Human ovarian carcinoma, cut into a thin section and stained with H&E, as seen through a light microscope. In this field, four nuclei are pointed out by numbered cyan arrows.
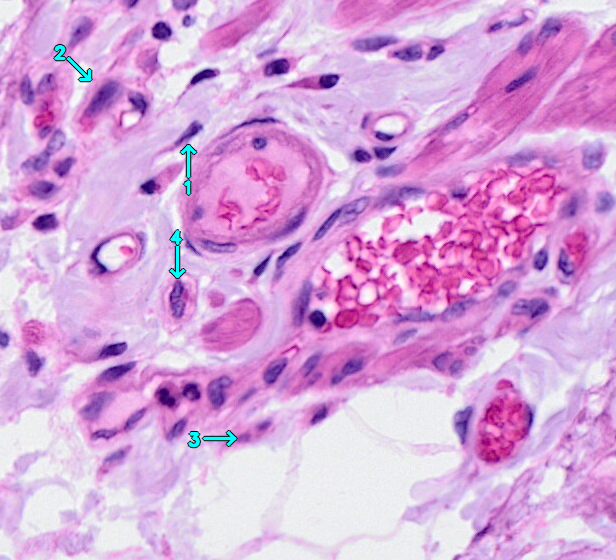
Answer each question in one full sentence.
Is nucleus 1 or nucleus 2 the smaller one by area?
Number 1 is smaller, since number 2 takes up about 2.5 times as much area.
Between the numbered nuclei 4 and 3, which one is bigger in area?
Nucleus 4 is larger, with an area about 3 times that of nucleus 3.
